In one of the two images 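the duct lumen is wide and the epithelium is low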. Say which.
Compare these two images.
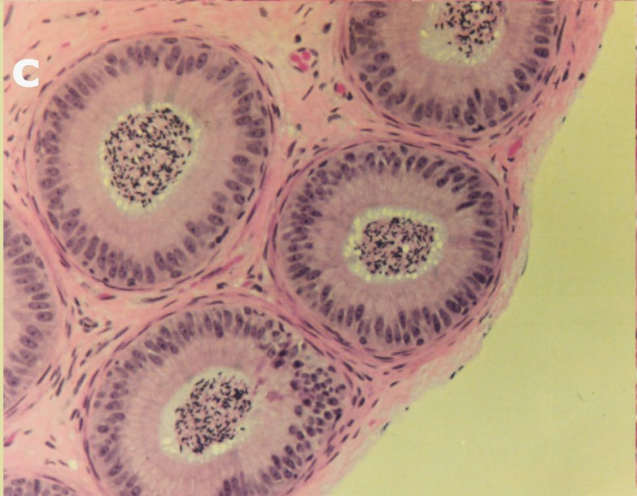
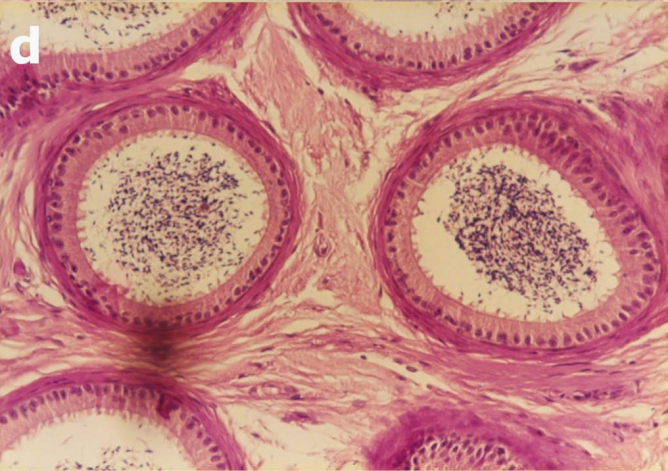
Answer: The second image.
